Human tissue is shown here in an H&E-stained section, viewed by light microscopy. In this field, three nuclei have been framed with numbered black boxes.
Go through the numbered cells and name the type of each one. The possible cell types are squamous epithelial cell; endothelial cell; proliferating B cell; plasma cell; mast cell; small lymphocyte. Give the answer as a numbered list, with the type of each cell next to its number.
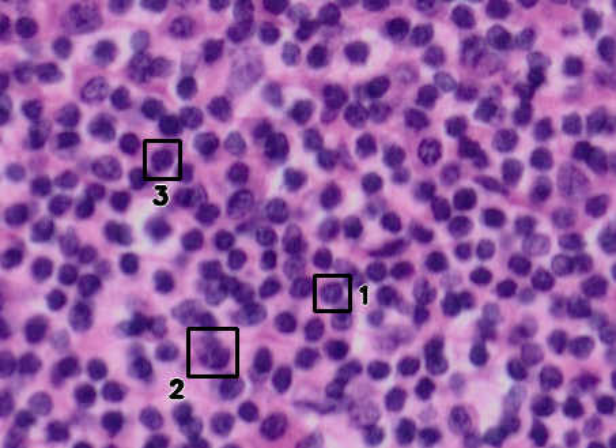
1. small lymphocyte
2. proliferating B cell
3. small lymphocyte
